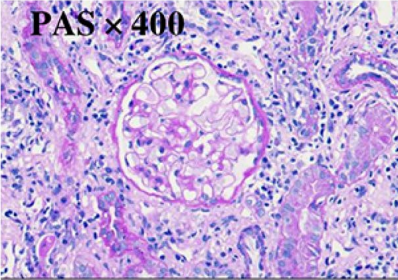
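A single glomerulus sits in the centre, surrounded by renal tubules and interstitium. The glomerular tuft is composed of open capillary loops outlined by magenta-staining basement membranes, with scattered dark blue nuclei within the tuft. A thin Bowman's capsule encloses the tuft with a narrow urinary space around it. The surrounding tubules have pink-purple epithelial cytoplasm and round blue nuclei. Numerous small dark nuclei are scattered in the interstitium between the tubules.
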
